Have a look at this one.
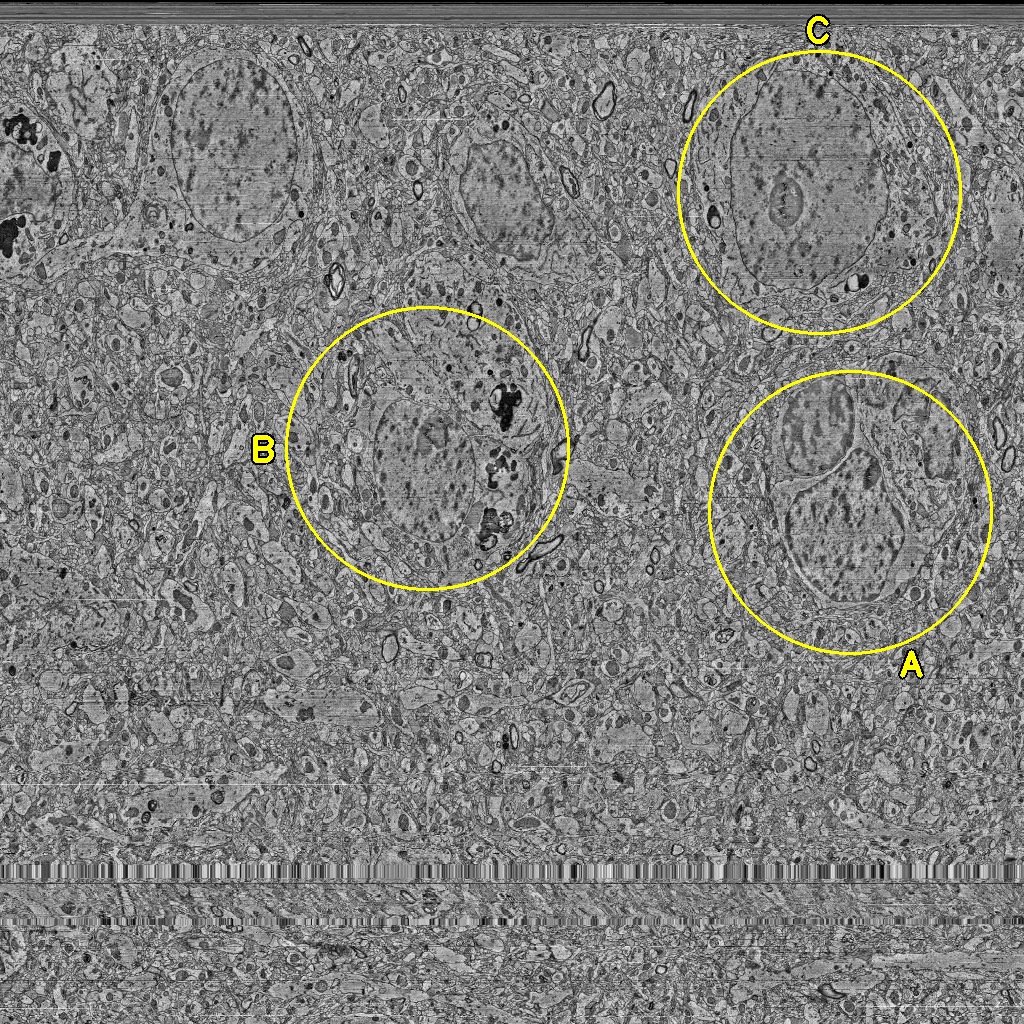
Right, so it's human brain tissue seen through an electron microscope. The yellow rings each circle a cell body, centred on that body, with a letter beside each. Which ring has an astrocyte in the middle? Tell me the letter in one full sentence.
That kind of cell is sitting in the middle of ring B there.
